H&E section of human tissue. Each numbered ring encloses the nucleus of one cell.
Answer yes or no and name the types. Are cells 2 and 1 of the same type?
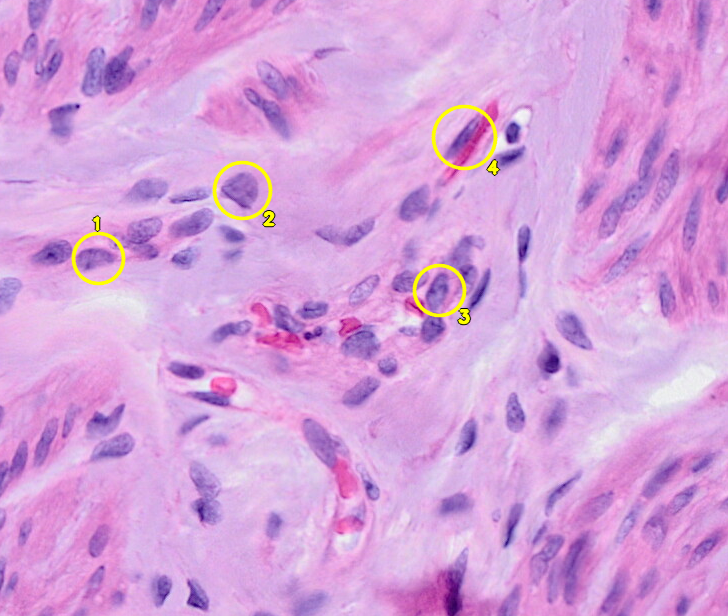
No, cell 2 is a fibroblast and cell 1 is an endothelial cell.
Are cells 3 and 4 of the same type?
Yes, both are endothelial cells.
